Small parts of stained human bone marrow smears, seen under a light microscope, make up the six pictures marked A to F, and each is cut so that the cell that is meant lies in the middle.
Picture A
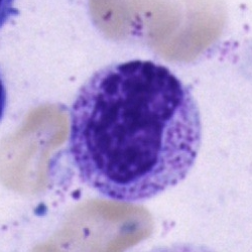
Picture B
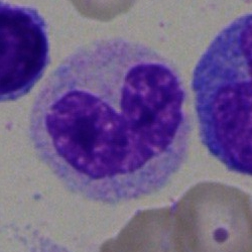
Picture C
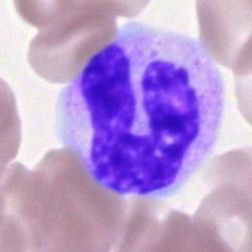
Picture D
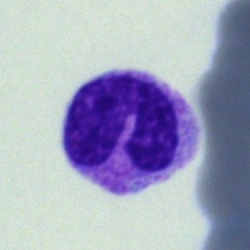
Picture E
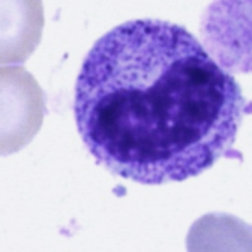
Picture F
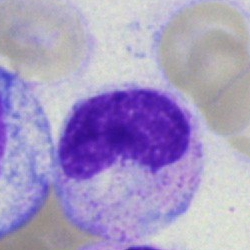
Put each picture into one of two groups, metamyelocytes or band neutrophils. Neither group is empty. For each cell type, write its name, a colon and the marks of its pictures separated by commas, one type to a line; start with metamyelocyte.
metamyelocyte: A, E
band neutrophil: B, C, D, F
